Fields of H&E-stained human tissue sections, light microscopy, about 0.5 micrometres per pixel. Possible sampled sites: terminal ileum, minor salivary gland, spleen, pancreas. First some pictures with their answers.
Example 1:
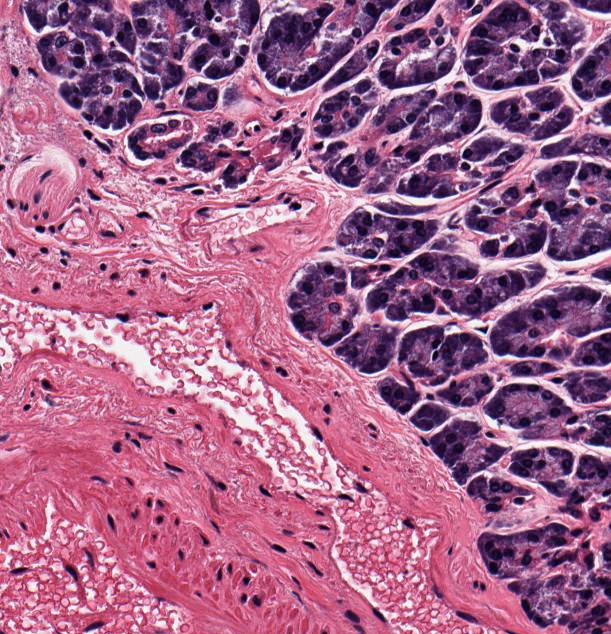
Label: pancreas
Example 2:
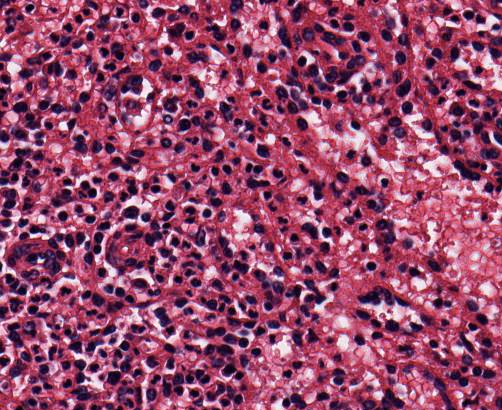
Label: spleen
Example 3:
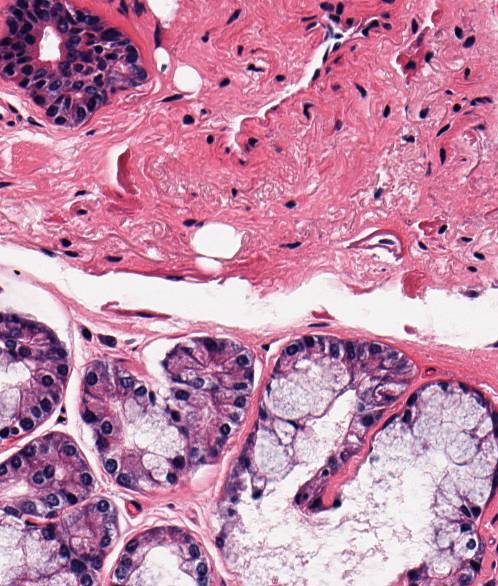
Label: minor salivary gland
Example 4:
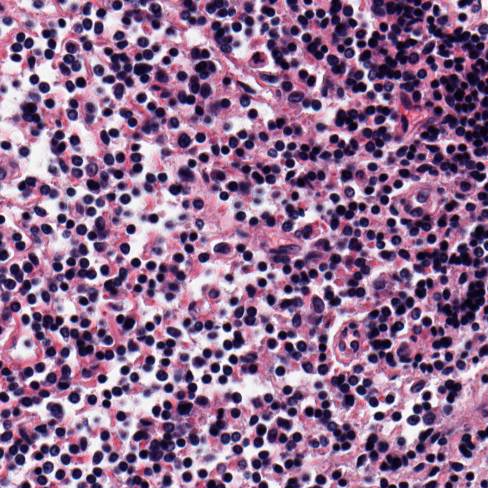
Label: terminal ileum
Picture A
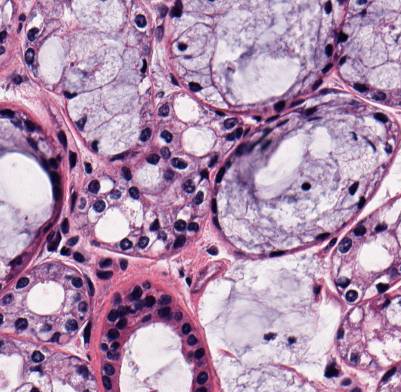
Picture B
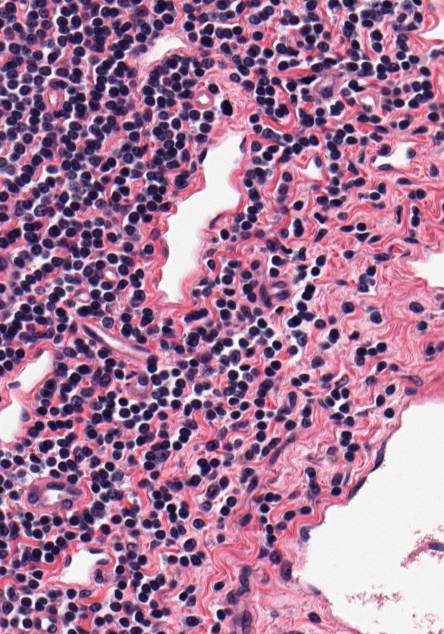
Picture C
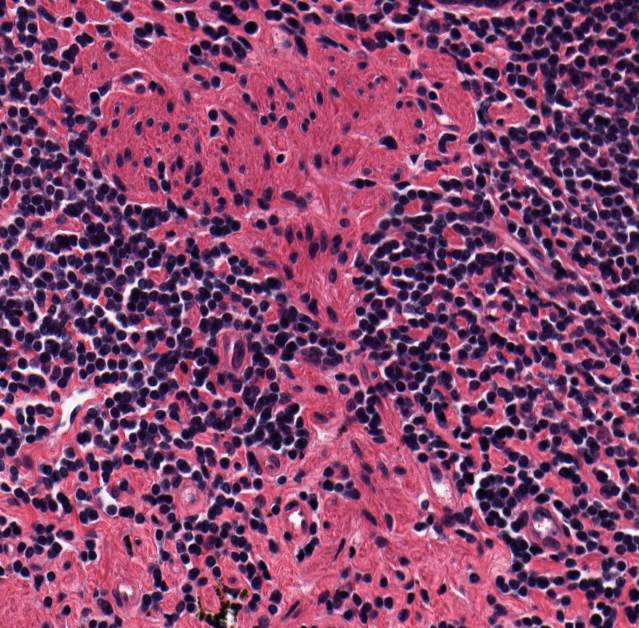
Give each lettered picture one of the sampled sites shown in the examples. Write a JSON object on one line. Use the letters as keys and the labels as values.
{"A": "minor salivary gland", "B": "terminal ileum", "C": "terminal ileum"}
